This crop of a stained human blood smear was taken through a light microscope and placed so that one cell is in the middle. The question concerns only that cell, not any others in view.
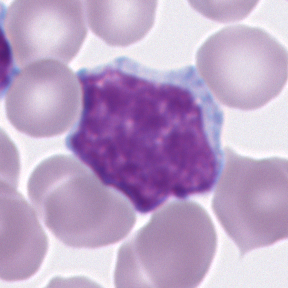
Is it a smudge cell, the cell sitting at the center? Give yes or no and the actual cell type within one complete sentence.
No, instead of being a smudge cell, the middle cell is a typical lymphocyte.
